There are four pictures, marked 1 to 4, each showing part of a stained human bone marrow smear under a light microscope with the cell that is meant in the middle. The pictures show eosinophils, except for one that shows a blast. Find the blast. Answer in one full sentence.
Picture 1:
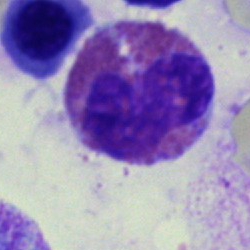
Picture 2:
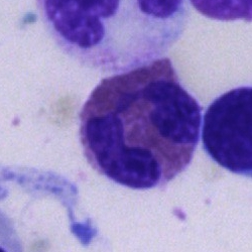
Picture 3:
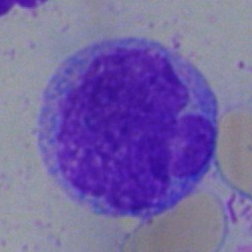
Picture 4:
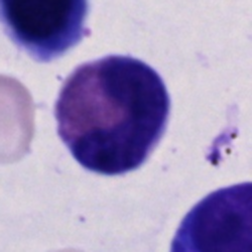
The cell in picture 3 is the blast.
